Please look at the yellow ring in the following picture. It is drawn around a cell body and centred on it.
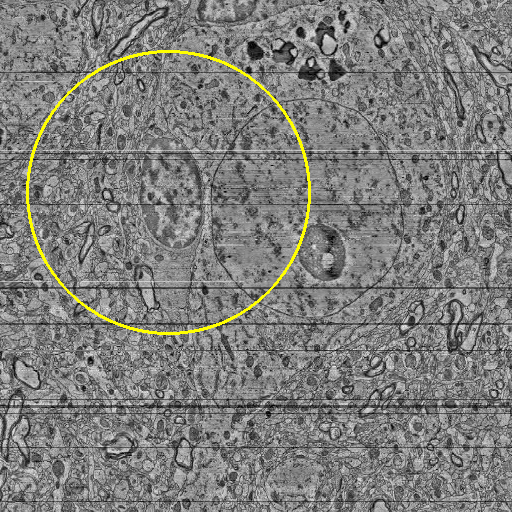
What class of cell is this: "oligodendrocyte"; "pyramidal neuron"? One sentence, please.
The ring surrounds the cell body of an oligodendrocyte.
